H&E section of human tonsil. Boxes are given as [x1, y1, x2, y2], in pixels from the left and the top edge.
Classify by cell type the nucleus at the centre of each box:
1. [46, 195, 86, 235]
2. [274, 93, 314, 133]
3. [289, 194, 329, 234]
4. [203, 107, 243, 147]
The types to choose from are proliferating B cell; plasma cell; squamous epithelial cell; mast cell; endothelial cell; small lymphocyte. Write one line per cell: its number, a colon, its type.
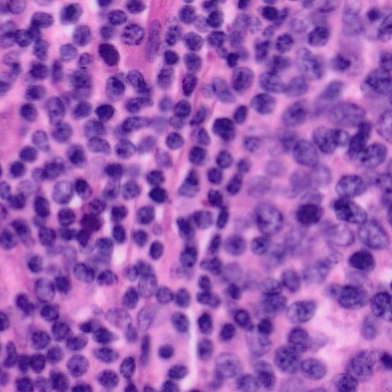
1: small lymphocyte
2: proliferating B cell
3: proliferating B cell
4: proliferating B cell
